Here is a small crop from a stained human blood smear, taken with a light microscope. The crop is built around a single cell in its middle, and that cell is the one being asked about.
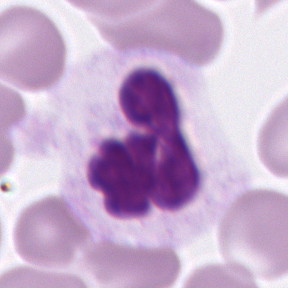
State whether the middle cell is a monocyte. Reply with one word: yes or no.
no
